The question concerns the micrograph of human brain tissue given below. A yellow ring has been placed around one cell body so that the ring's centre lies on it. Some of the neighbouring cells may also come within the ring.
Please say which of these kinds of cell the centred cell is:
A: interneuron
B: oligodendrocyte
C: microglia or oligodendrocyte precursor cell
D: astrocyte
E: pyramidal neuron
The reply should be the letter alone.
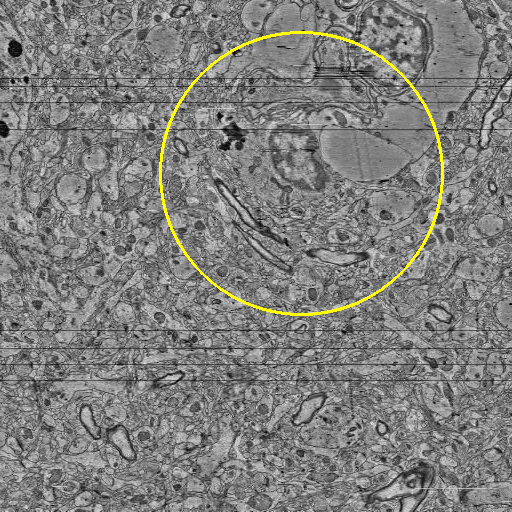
B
